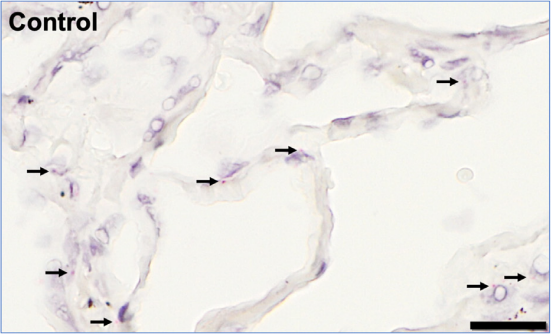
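This is lung tissue with thin alveolar septa that wind between wide, empty air spaces. The septa are narrow bands of pale tissue lined by flattened cells, whose elongated purple nuclei lie along the walls. Here and there, at the corners and along the walls, sit rounder cells with oval nuclei and a little more cytoplasm. Small pink-red dots lie next to several of these nuclei, and black arrows point to them. The walls are delicate and do not show thickening or crowding of cells.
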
